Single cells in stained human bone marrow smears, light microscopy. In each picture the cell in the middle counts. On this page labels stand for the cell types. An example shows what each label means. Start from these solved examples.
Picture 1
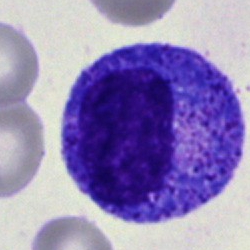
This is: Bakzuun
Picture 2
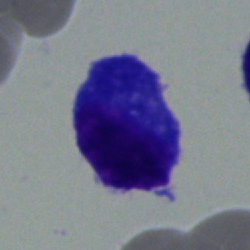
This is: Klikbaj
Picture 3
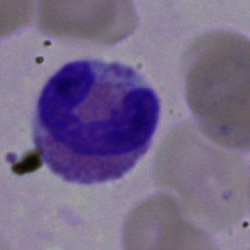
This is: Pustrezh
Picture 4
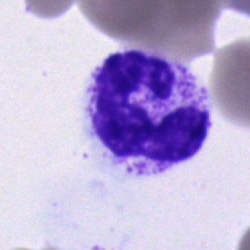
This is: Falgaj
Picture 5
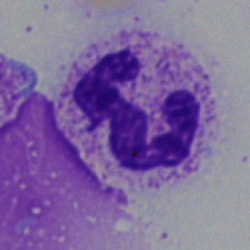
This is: Falgaj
